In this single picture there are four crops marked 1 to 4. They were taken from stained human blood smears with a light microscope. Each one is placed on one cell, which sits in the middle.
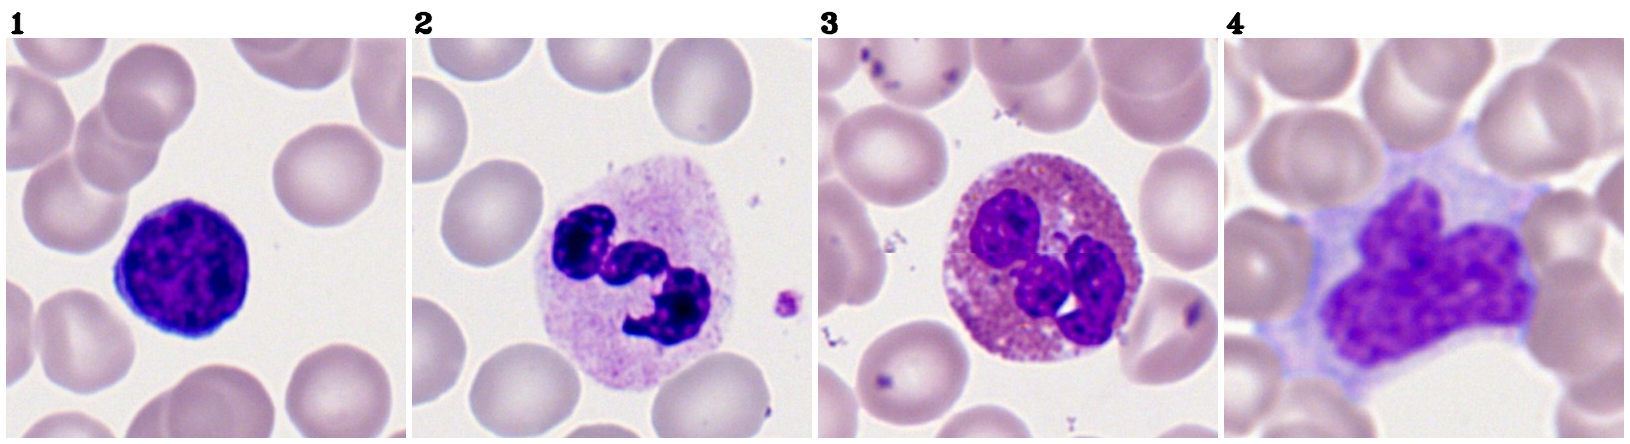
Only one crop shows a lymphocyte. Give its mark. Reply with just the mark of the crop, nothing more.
1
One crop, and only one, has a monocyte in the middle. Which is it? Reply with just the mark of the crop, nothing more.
4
